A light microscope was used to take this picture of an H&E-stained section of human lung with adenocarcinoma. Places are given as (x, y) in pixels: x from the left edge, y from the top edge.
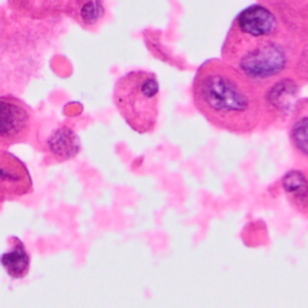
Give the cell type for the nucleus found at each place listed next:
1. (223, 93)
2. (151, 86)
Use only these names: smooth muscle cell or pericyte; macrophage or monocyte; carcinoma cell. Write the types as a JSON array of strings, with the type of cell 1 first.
["carcinoma cell", "macrophage or monocyte"]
